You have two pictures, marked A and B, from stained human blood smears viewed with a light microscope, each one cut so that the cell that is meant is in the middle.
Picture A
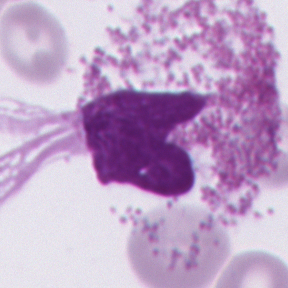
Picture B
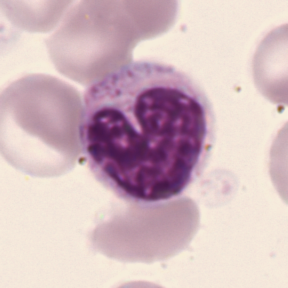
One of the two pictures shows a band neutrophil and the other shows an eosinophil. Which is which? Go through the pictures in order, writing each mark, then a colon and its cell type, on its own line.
A: eosinophil
B: band neutrophil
